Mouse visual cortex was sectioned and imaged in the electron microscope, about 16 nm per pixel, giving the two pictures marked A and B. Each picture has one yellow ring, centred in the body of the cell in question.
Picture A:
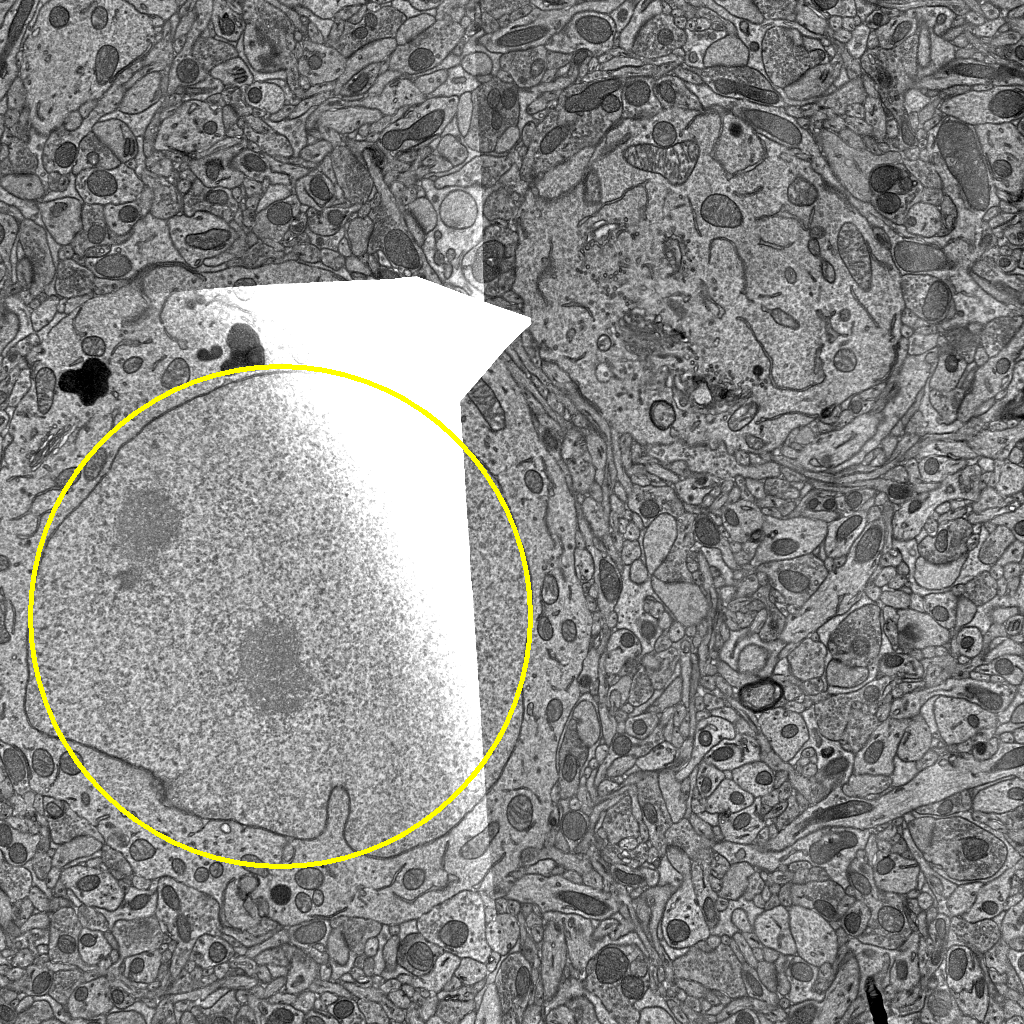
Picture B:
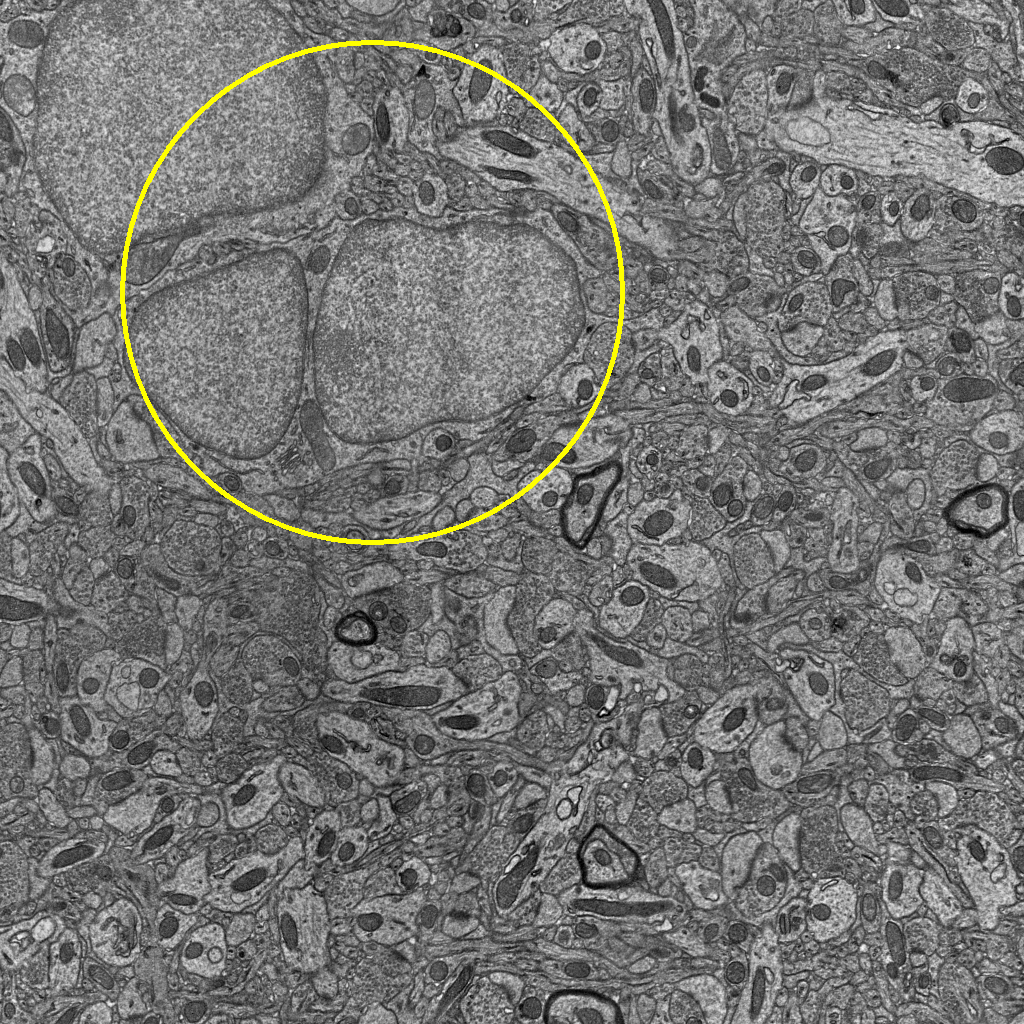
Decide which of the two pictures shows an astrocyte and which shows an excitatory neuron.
Picture A shows an excitatory neuron and picture B shows an astrocyte.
